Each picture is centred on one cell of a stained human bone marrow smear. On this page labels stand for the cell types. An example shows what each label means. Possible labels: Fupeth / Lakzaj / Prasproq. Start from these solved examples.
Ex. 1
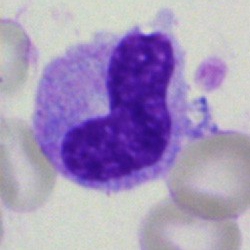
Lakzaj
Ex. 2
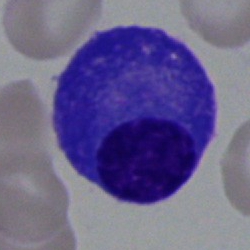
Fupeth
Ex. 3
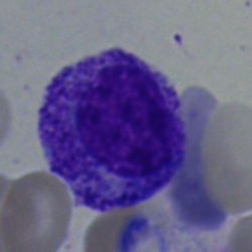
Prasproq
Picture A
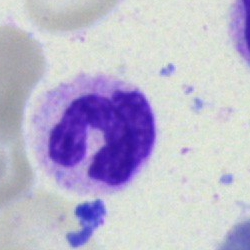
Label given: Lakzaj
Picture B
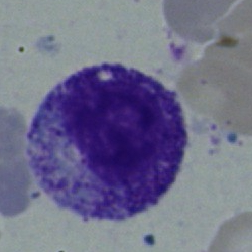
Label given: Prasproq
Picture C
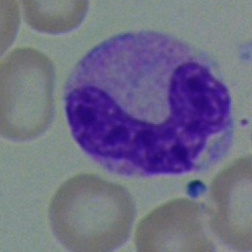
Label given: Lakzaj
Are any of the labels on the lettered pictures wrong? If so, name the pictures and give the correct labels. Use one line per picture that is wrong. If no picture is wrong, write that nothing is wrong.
All labels are correct.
